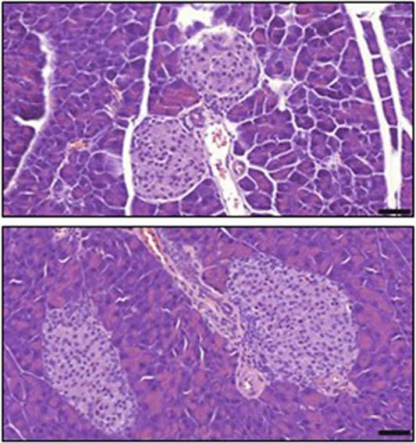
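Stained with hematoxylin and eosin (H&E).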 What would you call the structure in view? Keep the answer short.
Pancreatic islet.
